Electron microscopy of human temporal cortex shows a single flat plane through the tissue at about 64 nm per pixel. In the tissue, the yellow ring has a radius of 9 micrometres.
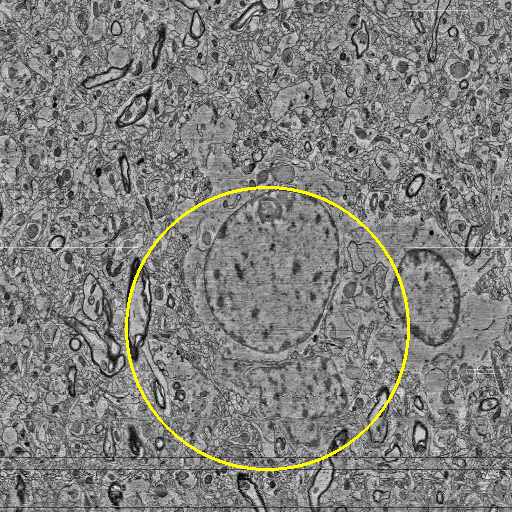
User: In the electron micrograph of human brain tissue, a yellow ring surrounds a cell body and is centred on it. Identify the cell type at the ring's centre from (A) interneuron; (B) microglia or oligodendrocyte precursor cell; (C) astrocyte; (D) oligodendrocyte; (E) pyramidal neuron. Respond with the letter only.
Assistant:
C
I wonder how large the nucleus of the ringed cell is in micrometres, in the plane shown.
The nucleus appears roughly 11 by 8 micrometres in this plane.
